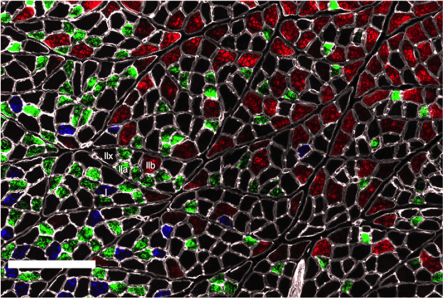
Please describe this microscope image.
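This is a transverse section through skeletal muscle, showing many polygonal muscle fibers cut across, each bounded by a thin white outline of its surrounding connective tissue. The fibers fit closely together in a mosaic. Some are filled with green, others with red, a few with blue, and many stay dark, unstained inside their white borders. Green and blue fibers cluster on the left of the field and tend to be small, while red fibers dominate the right side and are larger. Dark fibers are scattered throughout between the coloured ones.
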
